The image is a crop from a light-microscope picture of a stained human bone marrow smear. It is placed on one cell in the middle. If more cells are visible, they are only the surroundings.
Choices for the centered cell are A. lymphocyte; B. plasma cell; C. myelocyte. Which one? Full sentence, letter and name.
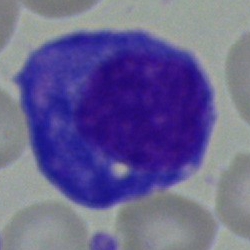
Correctly, option B names the cell in the middle a plasma cell.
